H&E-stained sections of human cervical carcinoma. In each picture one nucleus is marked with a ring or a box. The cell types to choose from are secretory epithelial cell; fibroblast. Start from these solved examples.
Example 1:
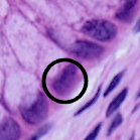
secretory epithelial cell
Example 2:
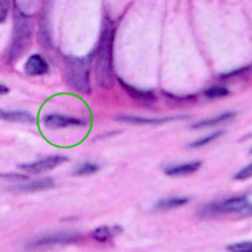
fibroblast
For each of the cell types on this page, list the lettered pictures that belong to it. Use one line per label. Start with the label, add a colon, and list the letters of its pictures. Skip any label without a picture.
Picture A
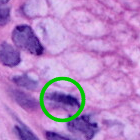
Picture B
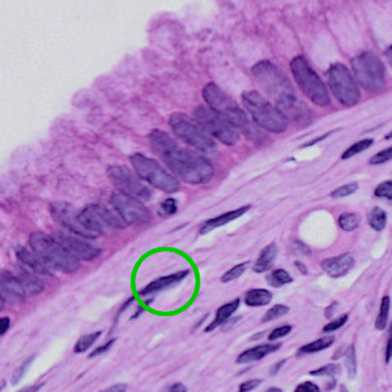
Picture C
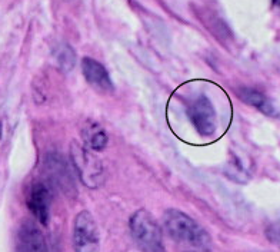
secretory epithelial cell: A
fibroblast: B, C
